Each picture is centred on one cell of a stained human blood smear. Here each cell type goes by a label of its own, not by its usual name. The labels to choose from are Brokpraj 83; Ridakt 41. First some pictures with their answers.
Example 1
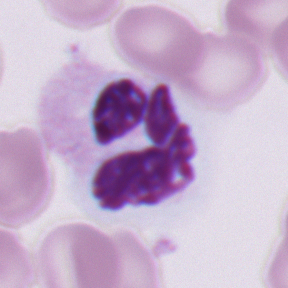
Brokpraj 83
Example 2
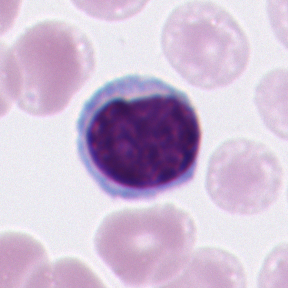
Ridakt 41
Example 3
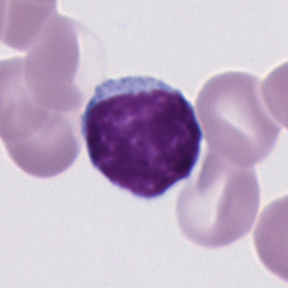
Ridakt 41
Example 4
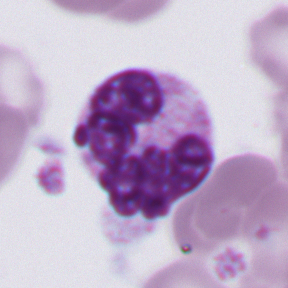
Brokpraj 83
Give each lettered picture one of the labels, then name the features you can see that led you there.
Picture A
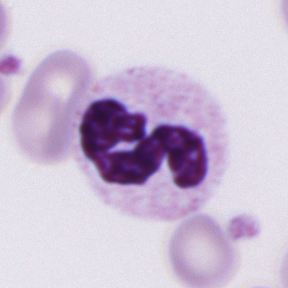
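Brokpraj 83. Evidence: The nucleus forms a bent, band-like mass with several bulging parts stretching across most of the cell's width.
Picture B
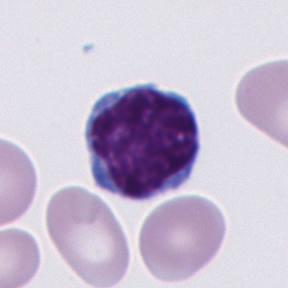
Ridakt 41. Evidence: The cytoplasm forms a thin rim that is widest at the lower left of the cell.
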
